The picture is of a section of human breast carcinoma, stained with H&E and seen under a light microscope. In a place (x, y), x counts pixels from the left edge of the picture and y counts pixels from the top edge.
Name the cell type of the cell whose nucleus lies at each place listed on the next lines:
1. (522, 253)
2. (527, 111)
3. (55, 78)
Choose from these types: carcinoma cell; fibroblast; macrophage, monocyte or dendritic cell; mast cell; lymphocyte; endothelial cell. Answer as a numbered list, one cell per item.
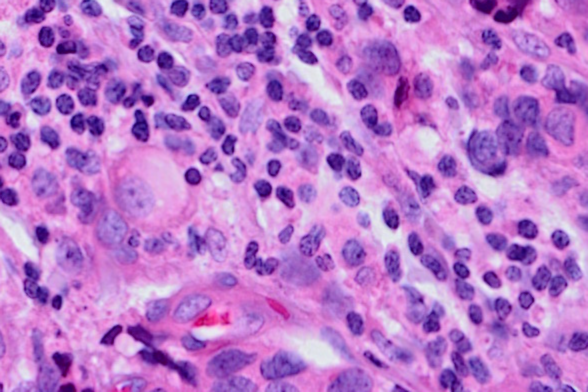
1. lymphocyte
2. carcinoma cell
3. lymphocyte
